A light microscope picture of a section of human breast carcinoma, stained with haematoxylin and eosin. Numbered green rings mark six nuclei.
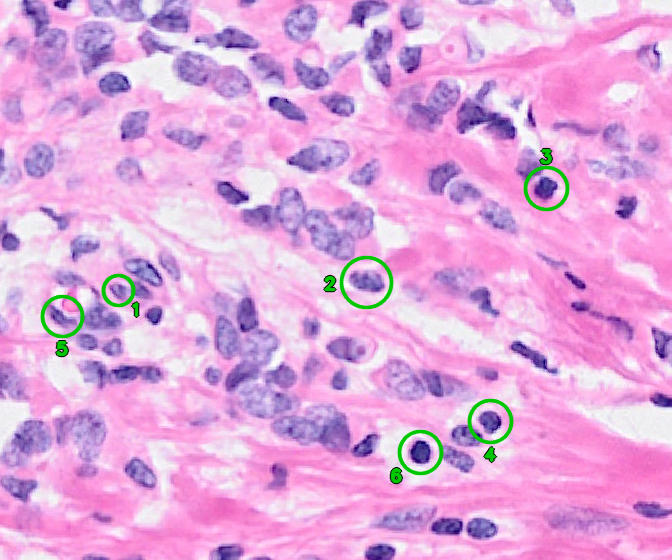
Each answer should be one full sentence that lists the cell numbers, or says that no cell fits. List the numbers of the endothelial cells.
The cells numbered 1 and 5 are identified as endothelial cells.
